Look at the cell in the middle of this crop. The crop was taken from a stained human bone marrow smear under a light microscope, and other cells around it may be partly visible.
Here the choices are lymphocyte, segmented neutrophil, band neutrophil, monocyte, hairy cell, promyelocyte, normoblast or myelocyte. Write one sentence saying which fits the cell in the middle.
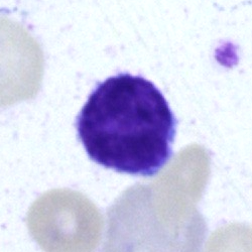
The cell centred in this crop is categorized as a lymphocyte.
